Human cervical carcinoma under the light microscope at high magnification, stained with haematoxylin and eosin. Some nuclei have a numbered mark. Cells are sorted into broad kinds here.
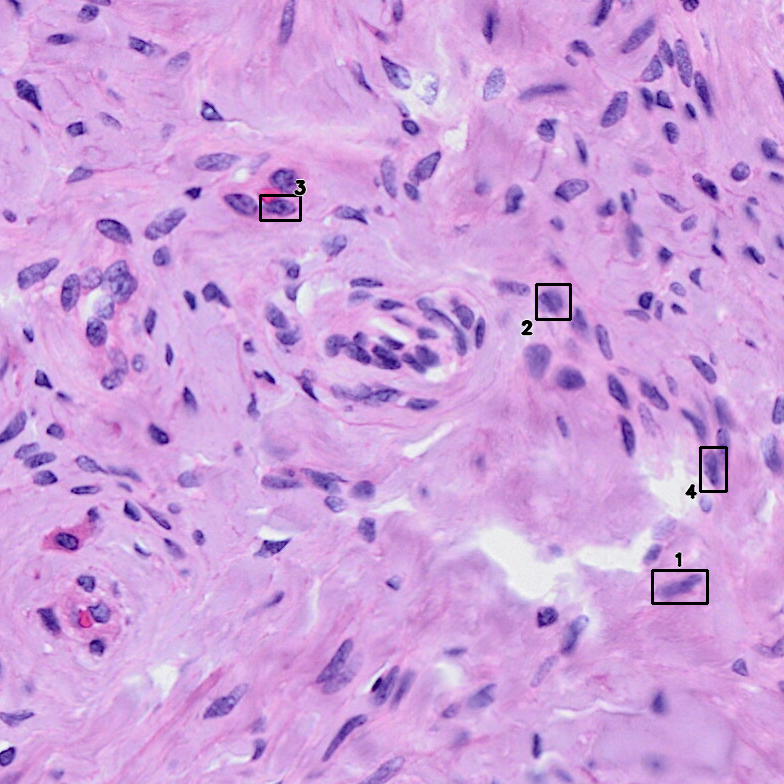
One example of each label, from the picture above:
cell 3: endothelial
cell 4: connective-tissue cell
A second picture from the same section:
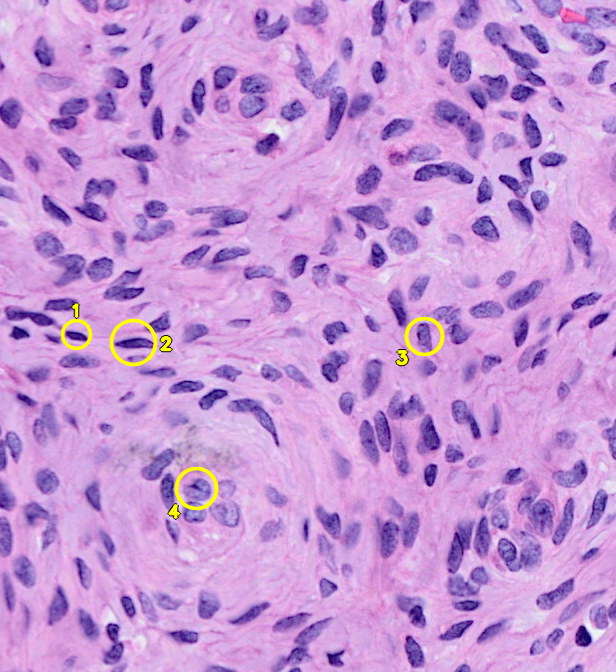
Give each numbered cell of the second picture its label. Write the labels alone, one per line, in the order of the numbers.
connective-tissue cell
connective-tissue cell
connective-tissue cell
endothelial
